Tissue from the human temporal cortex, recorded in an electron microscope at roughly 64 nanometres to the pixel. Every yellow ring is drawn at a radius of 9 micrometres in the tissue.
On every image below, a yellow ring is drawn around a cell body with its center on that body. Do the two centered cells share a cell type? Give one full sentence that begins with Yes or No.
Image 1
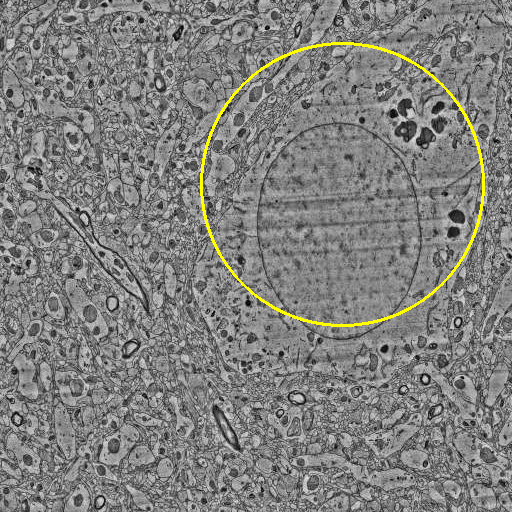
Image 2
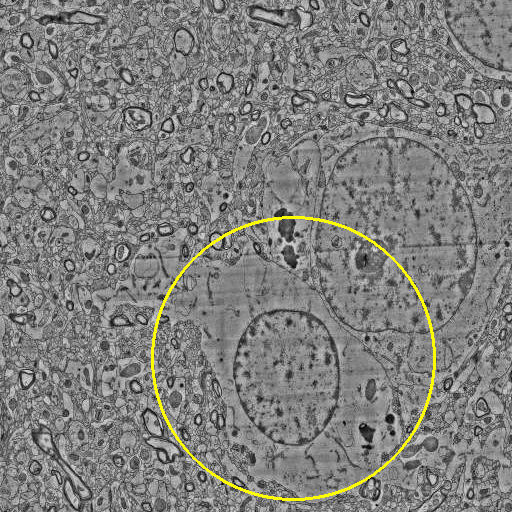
No, the centered cells in the two images are of two separate cell types.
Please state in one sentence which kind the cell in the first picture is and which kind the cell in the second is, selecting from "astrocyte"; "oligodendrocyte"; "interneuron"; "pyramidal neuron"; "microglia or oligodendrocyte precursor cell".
The first ringed cell is a pyramidal neuron, the second ringed cell an astrocyte.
